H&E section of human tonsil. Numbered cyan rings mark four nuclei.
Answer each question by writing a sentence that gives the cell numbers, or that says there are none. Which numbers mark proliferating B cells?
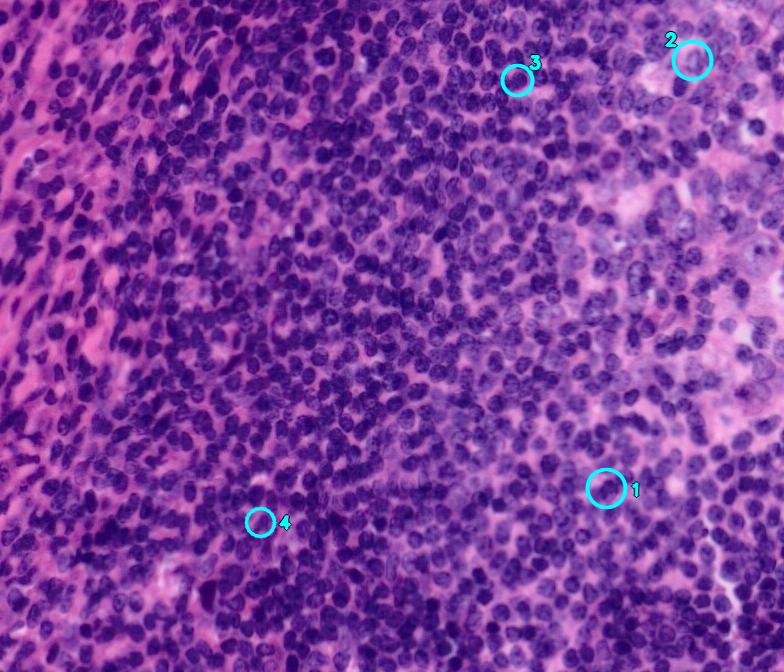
Cell 2 is the only one of the numbered cells that is a proliferating B cell.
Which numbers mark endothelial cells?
Of the numbered cells, none can be classed as endothelial cells.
